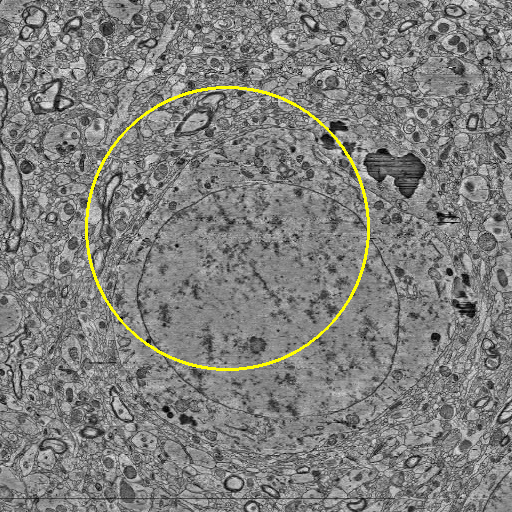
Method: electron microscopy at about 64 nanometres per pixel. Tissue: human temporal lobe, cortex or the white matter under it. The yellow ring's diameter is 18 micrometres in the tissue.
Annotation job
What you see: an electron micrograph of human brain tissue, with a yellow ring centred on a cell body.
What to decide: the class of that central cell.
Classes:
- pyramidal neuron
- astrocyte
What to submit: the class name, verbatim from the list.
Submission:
pyramidal neuron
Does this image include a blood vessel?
No.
